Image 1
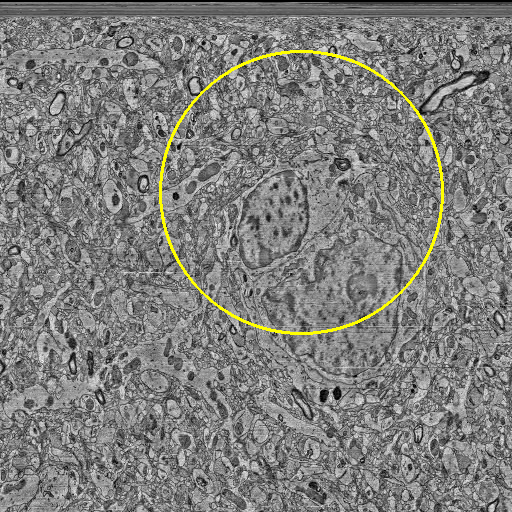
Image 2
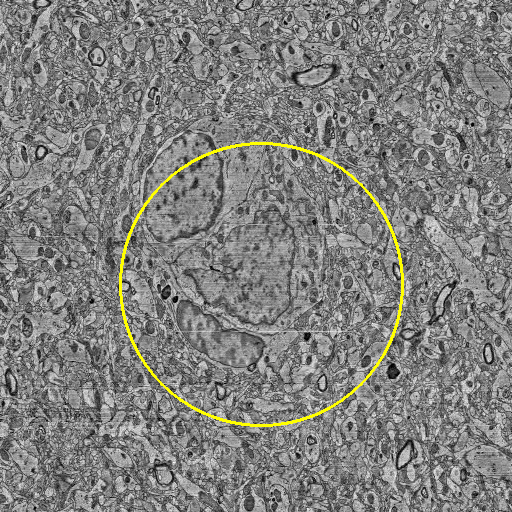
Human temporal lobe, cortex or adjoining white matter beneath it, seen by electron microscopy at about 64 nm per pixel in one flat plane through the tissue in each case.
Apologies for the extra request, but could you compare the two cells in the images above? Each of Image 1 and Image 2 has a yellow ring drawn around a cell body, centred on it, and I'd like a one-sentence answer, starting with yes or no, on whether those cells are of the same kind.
No, the two cells are of two kinds.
